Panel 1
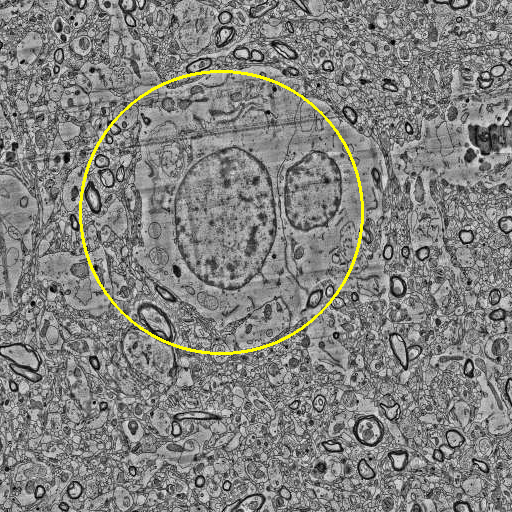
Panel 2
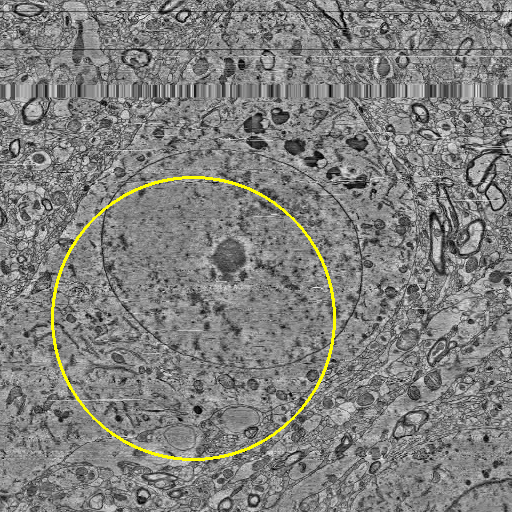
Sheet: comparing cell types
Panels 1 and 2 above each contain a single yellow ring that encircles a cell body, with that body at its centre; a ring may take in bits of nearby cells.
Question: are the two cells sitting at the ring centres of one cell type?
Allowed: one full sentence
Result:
No, the ring-centre cells in Panel 1 and Panel 2 are of two types.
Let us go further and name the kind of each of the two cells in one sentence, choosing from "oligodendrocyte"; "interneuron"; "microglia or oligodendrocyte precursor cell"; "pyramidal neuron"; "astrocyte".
The ring of the first picture is on an astrocyte, the ring of the second on a pyramidal neuron.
